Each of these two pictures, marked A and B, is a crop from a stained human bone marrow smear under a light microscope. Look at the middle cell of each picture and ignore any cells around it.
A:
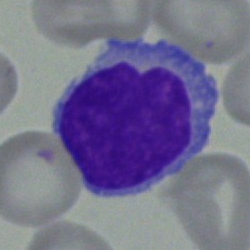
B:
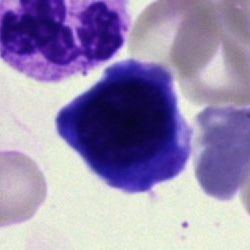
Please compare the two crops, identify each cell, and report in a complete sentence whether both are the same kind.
No, the cells are a blast in crop A and a normoblast in crop B.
